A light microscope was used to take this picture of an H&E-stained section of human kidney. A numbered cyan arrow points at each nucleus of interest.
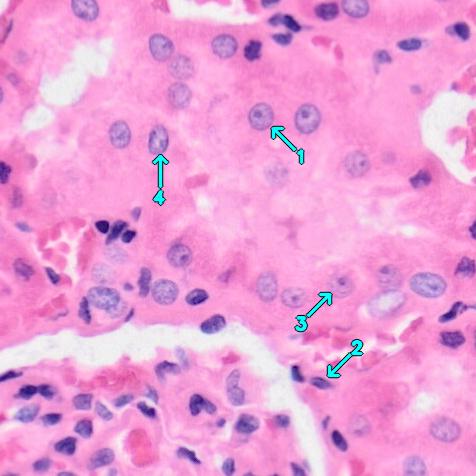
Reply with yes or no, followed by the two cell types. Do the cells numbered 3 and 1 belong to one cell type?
Yes, cells 3 and 1 are both identified as proximal tubule cells.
